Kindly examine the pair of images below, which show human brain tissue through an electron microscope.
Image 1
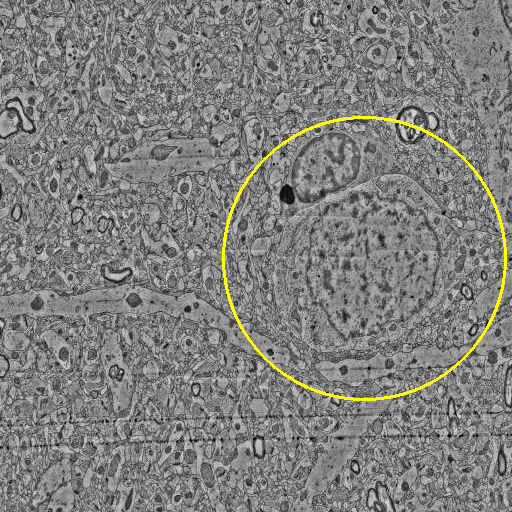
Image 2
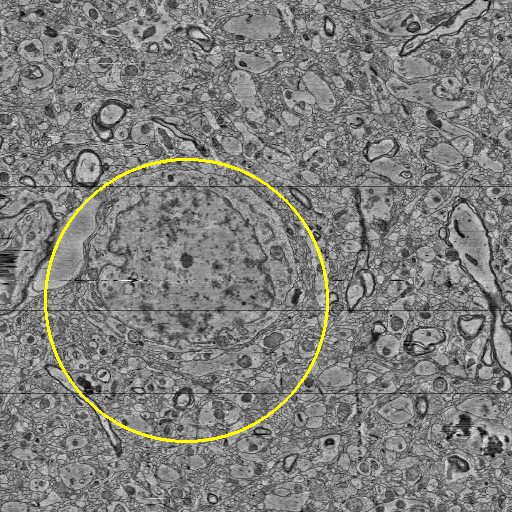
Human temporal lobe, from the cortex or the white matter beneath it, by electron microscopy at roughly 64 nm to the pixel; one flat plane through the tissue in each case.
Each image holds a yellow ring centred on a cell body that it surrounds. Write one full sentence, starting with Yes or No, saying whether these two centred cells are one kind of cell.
Yes, both cells at the centres of the yellow rings belong to one kind of cell.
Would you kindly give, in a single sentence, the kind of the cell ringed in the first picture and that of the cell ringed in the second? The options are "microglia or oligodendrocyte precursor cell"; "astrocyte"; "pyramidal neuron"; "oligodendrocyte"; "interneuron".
In each picture the ringed cell is an interneuron.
